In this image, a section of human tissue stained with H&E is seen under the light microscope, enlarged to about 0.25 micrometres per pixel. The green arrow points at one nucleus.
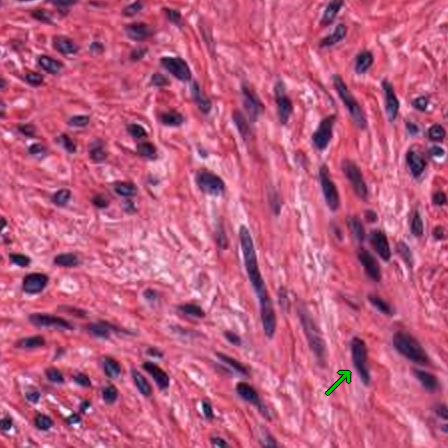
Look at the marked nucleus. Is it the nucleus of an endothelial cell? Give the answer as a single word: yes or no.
no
